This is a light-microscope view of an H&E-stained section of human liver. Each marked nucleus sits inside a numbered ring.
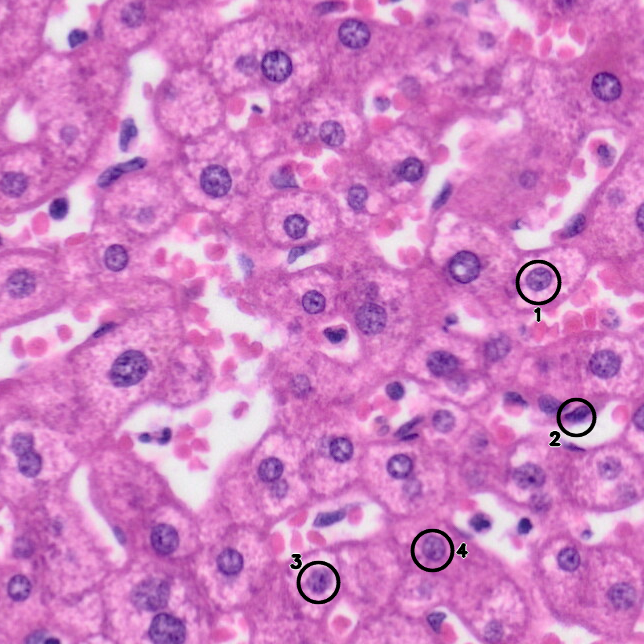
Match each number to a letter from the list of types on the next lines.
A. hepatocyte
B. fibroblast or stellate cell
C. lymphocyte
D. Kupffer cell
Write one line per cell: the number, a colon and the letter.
1: A
2: D
3: A
4: A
